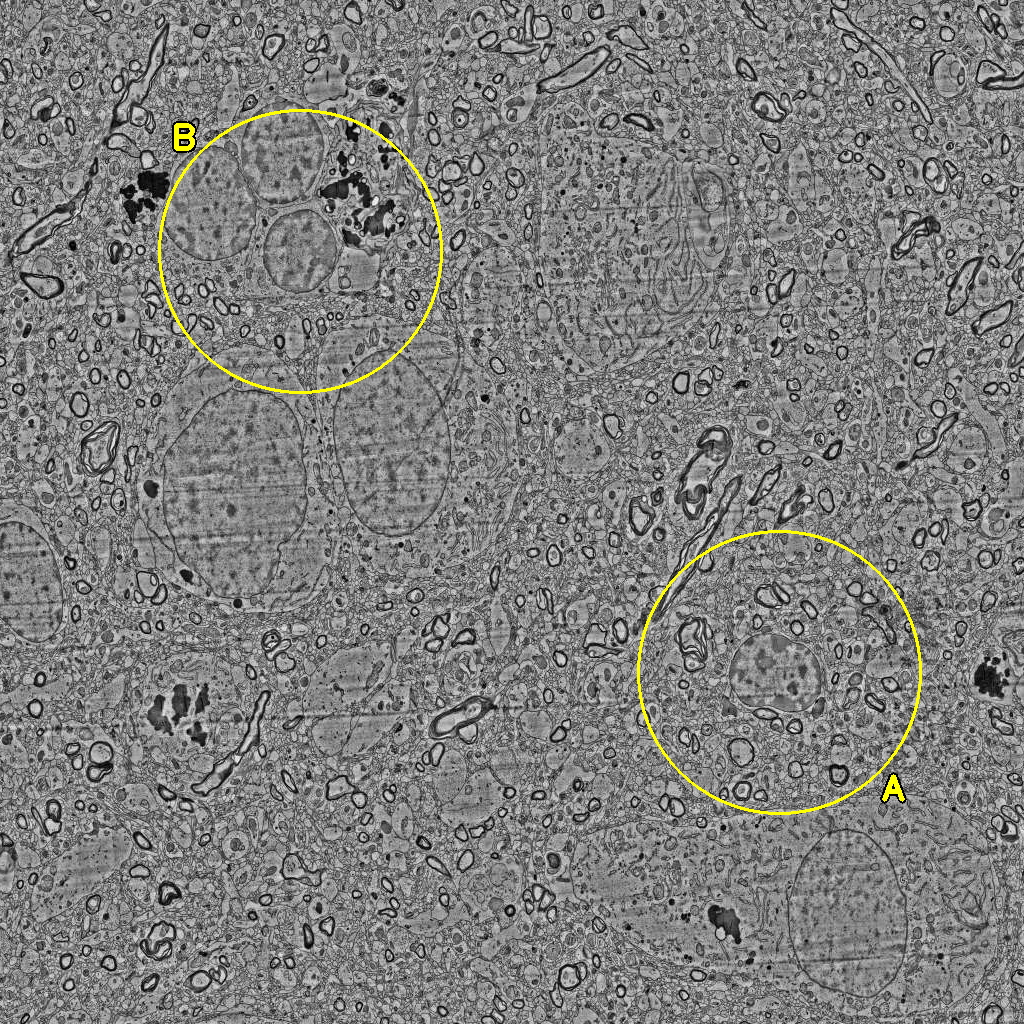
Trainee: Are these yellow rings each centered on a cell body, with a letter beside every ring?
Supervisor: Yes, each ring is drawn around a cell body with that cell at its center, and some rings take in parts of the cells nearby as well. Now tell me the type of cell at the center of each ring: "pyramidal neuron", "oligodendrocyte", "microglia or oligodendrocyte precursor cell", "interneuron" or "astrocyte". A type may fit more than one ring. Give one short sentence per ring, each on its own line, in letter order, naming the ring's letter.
Ring A has a microglial cell or oligodendrocyte precursor cell at its center.
Ring B has an oligodendrocyte at its center.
